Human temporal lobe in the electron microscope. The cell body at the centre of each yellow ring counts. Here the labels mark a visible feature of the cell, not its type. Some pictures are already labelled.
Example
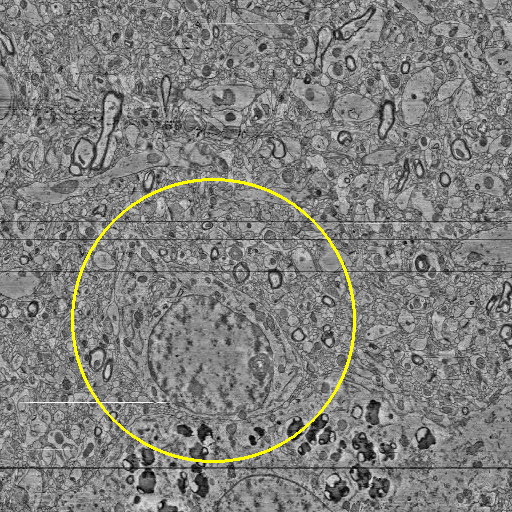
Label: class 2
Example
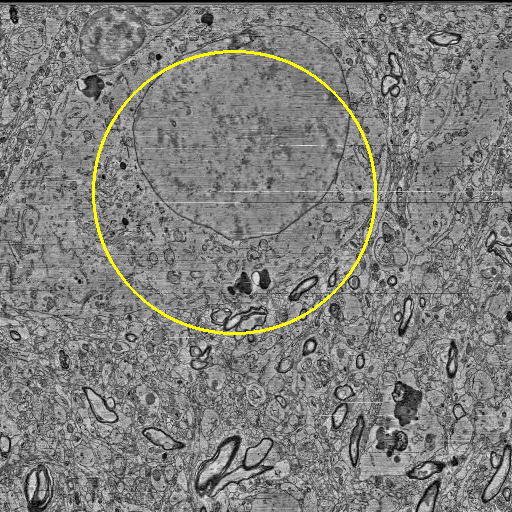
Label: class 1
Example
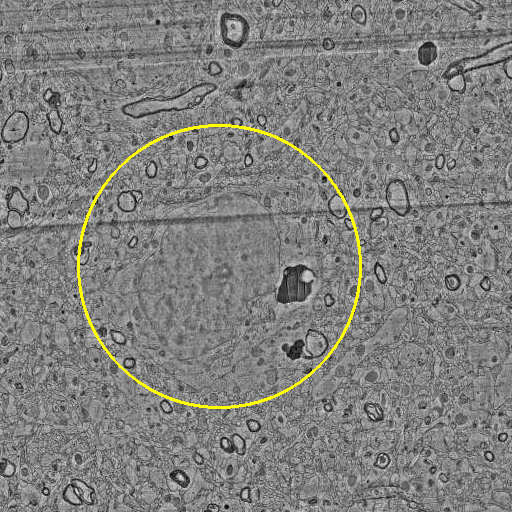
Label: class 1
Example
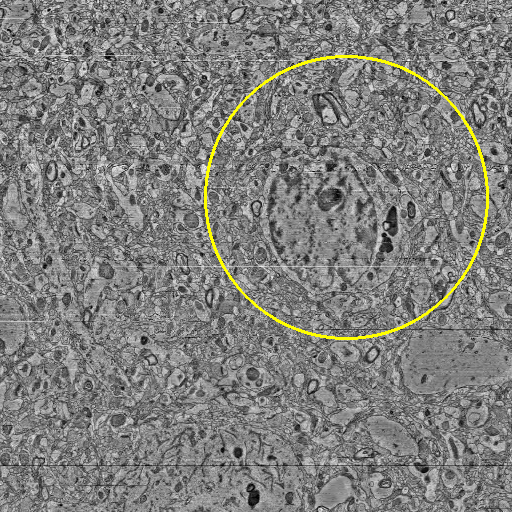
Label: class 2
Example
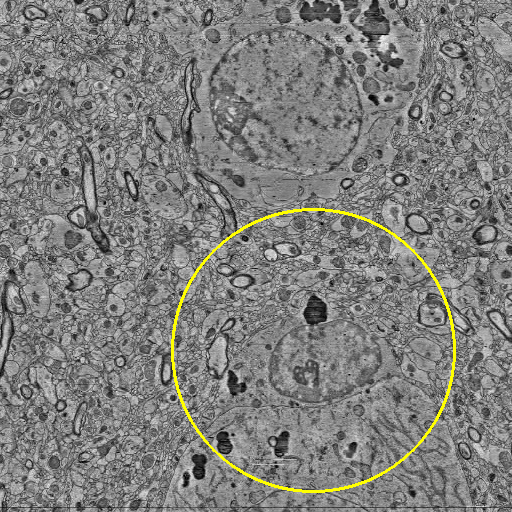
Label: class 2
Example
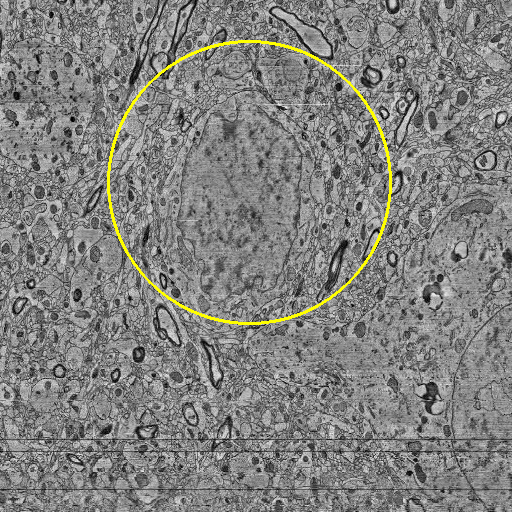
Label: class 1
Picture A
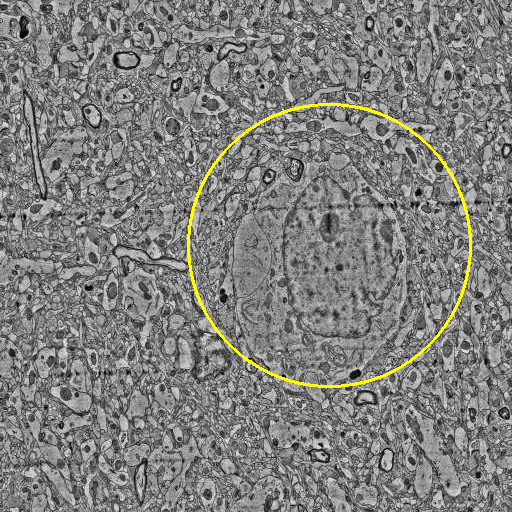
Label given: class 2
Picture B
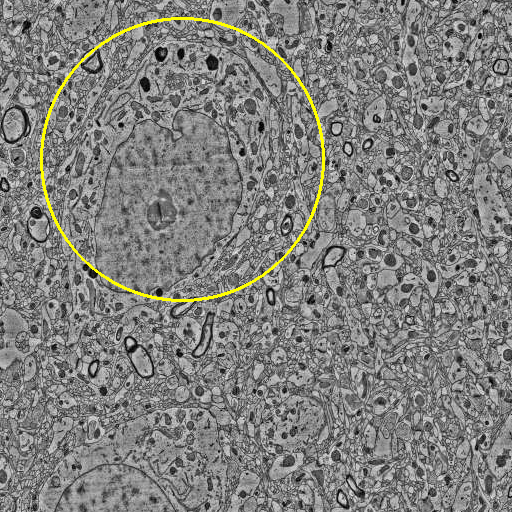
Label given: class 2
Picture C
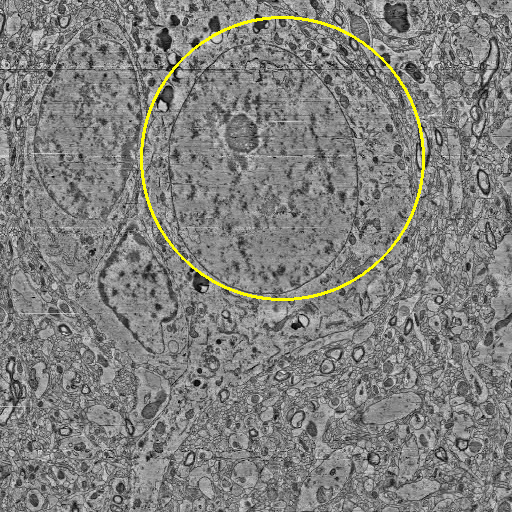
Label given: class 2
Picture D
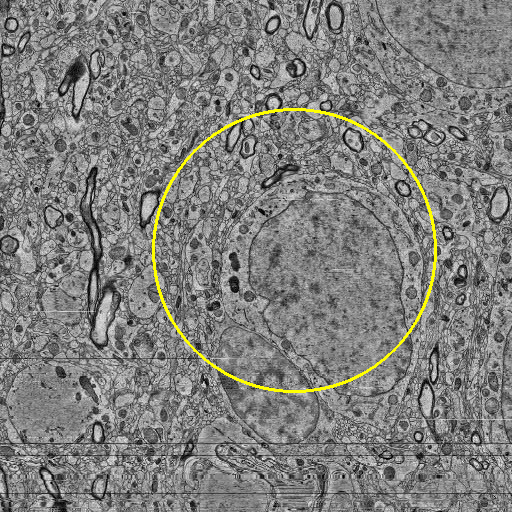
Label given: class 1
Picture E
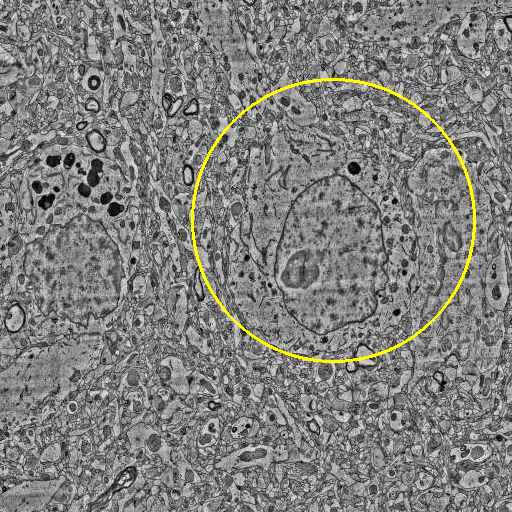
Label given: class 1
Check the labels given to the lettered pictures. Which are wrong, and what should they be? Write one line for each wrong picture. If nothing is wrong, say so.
E should be class 2, not class 1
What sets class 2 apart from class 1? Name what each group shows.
class 2, nucleolus seen; class 1, no nucleolus seen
